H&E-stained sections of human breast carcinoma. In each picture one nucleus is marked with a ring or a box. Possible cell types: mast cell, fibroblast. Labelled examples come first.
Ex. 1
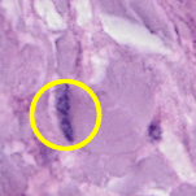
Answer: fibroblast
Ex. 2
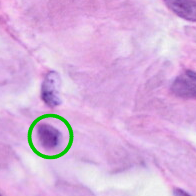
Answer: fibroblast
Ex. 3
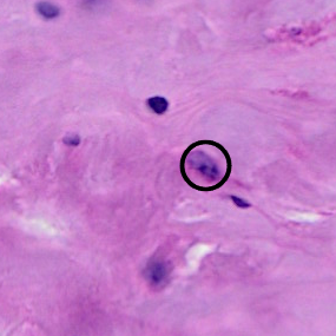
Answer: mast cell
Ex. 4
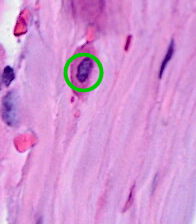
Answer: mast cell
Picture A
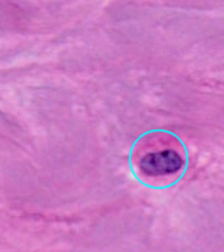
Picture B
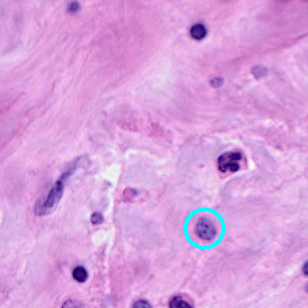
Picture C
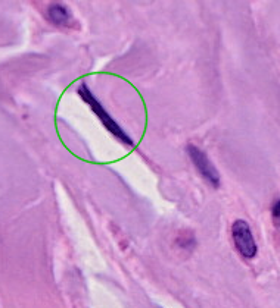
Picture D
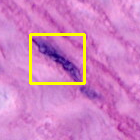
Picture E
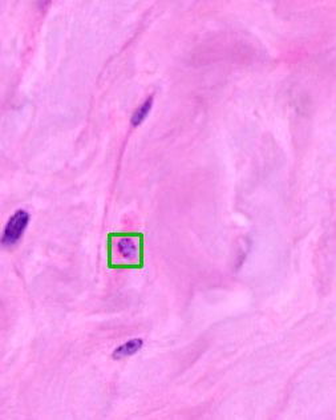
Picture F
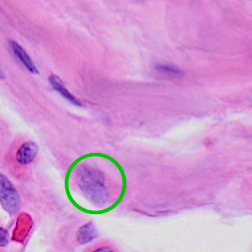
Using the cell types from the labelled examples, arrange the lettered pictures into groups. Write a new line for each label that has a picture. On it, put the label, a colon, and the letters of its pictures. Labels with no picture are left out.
mast cell: A, B, E
fibroblast: C, D, F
